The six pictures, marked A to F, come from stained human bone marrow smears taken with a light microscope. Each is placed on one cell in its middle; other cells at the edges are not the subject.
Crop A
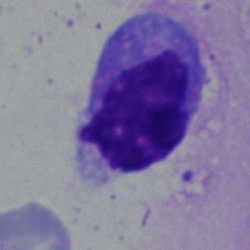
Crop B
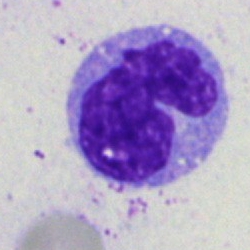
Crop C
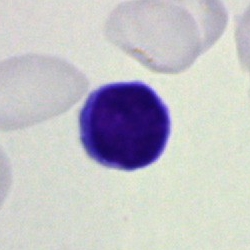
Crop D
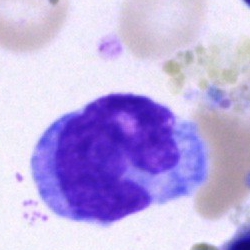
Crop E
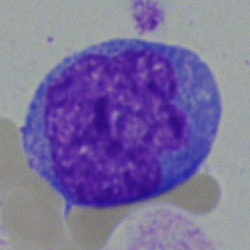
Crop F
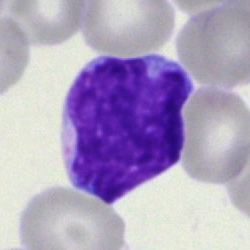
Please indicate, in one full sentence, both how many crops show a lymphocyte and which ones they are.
In this set, a lymphocyte is present in exactly one crop, crop C.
